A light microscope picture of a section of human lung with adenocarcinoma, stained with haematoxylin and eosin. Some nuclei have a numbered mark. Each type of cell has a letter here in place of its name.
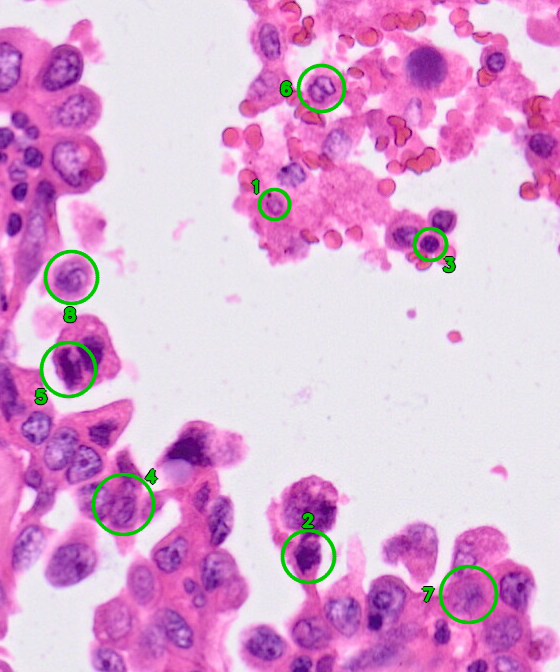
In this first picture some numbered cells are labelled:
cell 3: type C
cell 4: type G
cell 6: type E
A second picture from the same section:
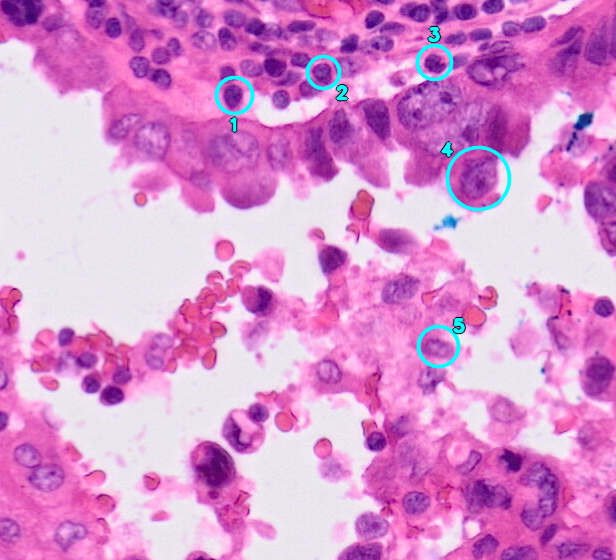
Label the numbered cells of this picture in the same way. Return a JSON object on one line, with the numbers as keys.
{"1": "type C", "2": "type C", "3": "type C", "4": "type G", "5": "type E"}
